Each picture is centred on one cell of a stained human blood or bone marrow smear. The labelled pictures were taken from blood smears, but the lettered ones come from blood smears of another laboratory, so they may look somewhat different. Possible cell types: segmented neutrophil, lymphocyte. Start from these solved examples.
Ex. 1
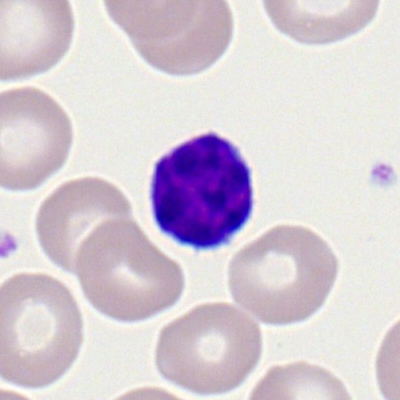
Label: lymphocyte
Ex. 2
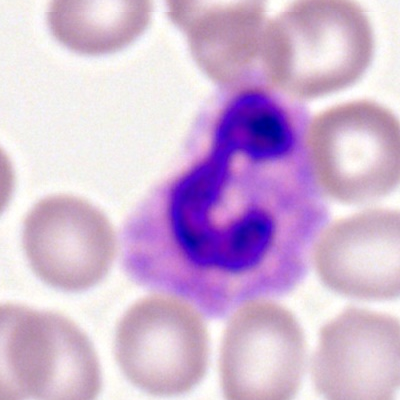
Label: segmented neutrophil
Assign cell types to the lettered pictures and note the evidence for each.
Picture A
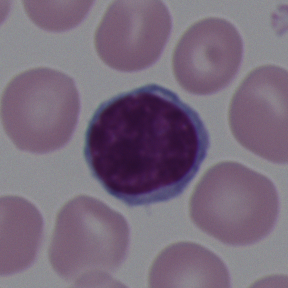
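lymphocyte. Reason: The cytoplasm forms only a thin rim around the nucleus.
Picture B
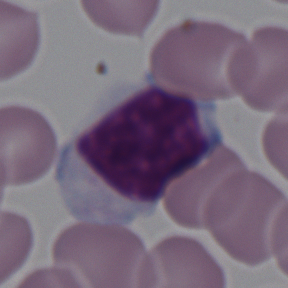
lymphocyte. Reason: The nucleus fills most of the cell and sits toward its upper right.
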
